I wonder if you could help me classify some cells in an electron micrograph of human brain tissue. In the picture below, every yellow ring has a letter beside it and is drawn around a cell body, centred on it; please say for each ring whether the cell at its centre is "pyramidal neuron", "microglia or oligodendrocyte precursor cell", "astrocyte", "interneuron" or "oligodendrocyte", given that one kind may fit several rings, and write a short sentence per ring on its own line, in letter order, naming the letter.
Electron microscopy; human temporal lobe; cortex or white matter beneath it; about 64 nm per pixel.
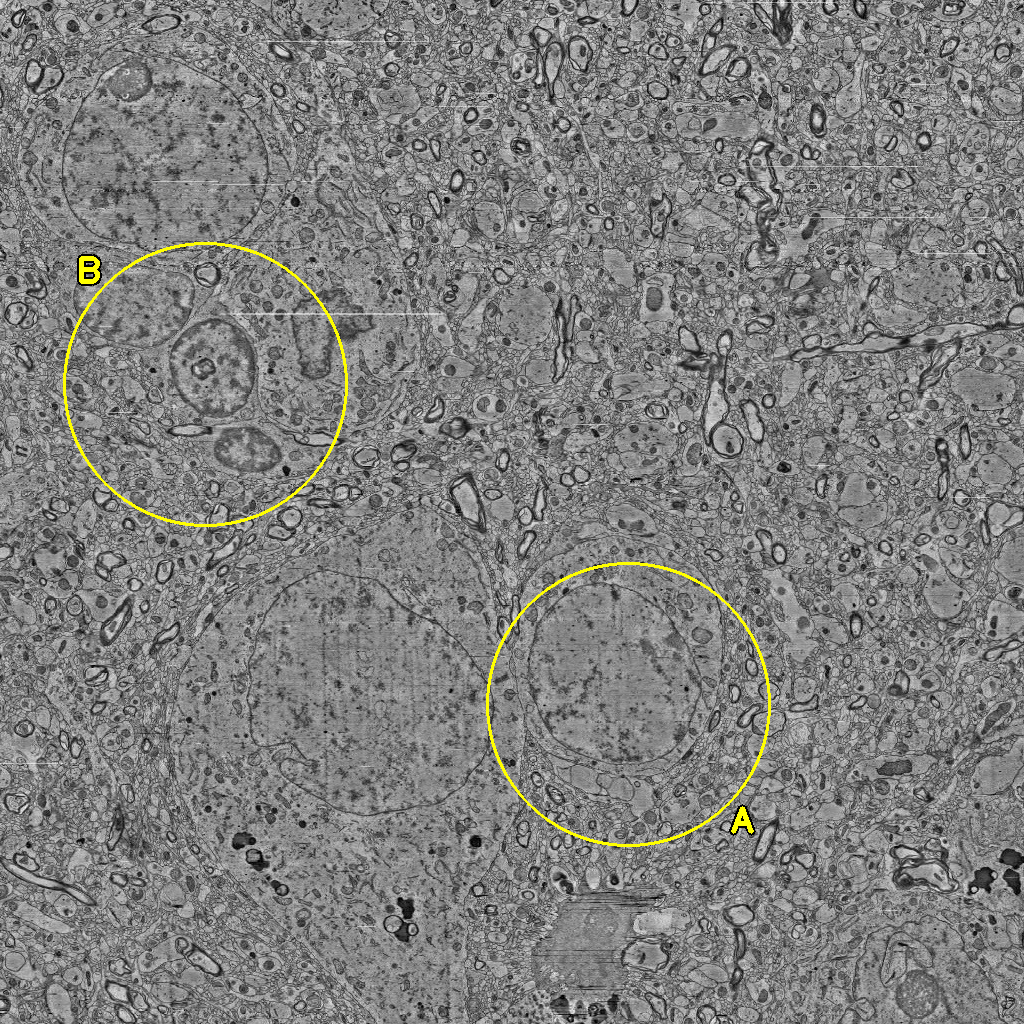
Centred in ring A is a pyramidal neuron.
Centred in ring B is an oligodendrocyte.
